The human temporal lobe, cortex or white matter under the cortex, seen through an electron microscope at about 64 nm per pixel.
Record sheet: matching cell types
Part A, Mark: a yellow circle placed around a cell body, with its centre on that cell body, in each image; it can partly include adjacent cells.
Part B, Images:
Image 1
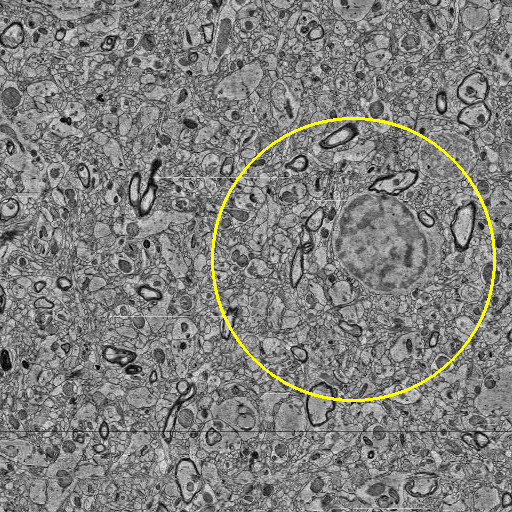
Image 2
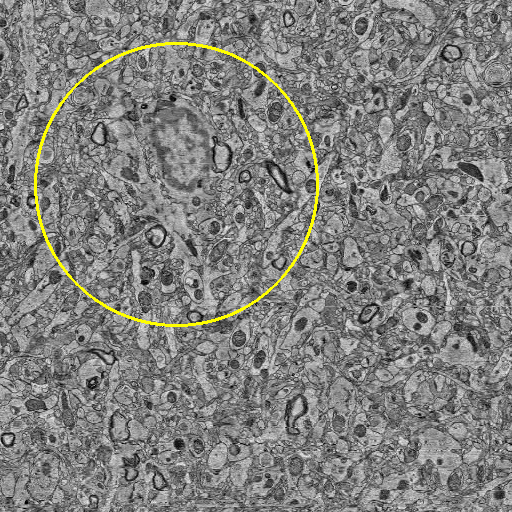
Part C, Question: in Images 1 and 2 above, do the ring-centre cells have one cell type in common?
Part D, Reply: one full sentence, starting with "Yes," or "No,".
Yes, the ring-centre cells of Image 1 and Image 2 are both of a single cell type.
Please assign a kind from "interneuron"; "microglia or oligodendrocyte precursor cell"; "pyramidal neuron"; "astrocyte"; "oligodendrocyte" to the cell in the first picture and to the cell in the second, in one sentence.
Both cells are the same kind, each one being an oligodendrocyte.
